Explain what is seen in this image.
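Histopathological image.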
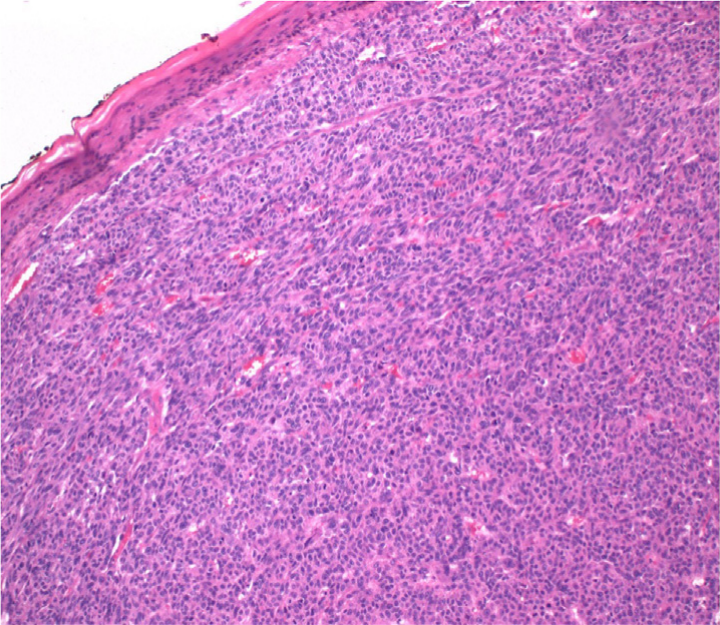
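Here we see skin. Along the top left edge runs a thin, pink-staining epidermis. Its lower border is flat, with no downward projections into the tissue below. Beneath it, the dermis is filled almost entirely by a dense, crowded growth of cells with pink cytoplasm. Their nuclei are small and dark purple, and some are round while others are oval or slightly spindled, so they vary in shape. Scattered among the cells are many small, narrow, slit-like spaces. Several of these spaces hold bright red blood cells, marking them as small vessels. Thin pink strands of stroma run between the cells.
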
